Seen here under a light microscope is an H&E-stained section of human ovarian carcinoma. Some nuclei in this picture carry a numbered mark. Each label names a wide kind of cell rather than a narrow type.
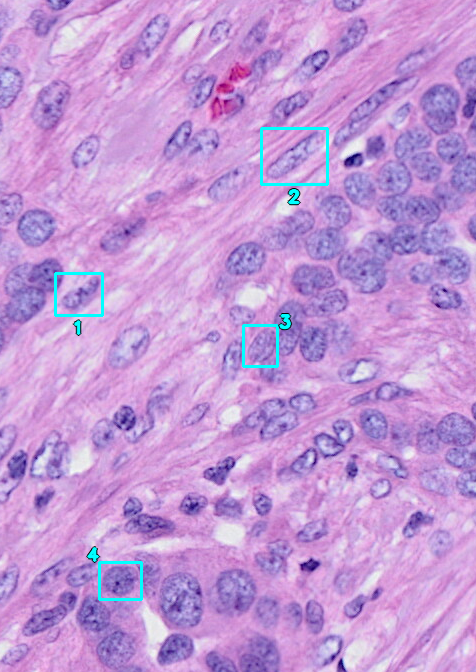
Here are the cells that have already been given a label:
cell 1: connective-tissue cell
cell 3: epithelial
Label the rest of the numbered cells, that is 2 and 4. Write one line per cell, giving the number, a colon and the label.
2: connective-tissue cell
4: epithelial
